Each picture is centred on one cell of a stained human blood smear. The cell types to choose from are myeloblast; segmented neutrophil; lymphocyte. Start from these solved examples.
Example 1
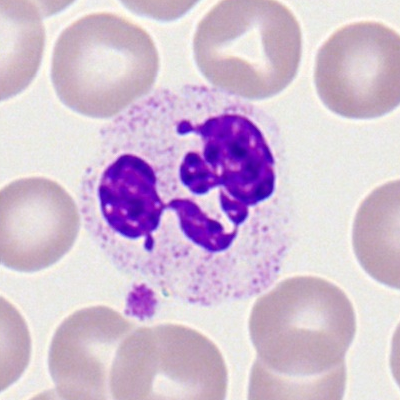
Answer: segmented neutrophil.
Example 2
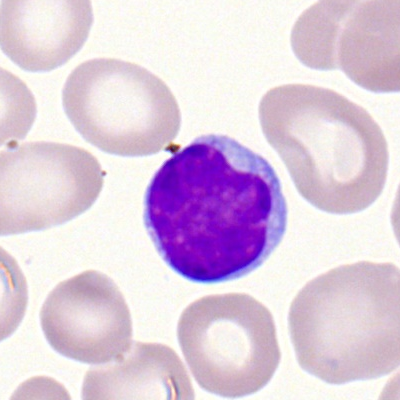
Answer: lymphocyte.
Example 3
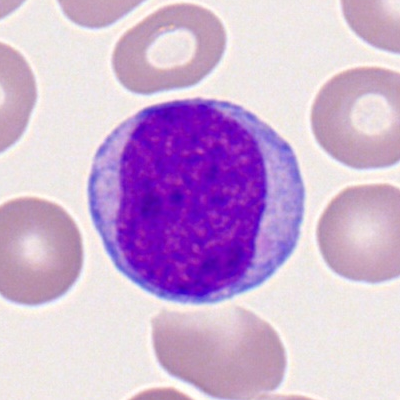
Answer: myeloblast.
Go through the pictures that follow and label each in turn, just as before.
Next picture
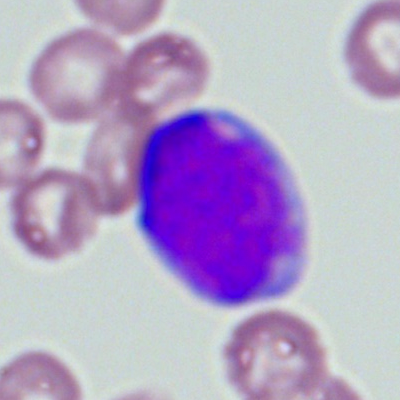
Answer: myeloblast.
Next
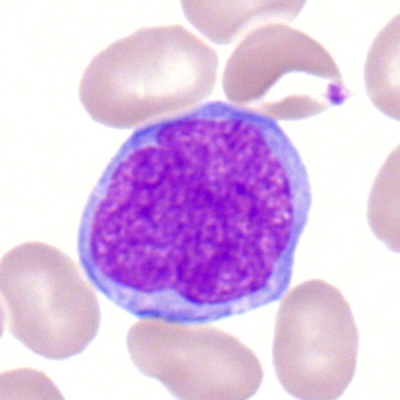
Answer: myeloblast.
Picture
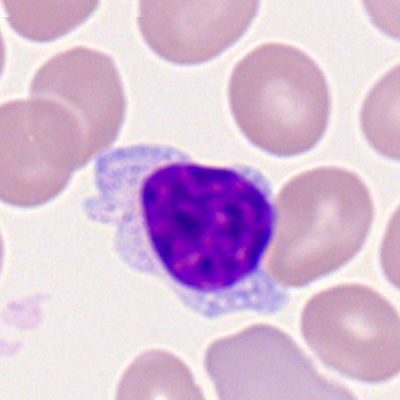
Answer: lymphocyte.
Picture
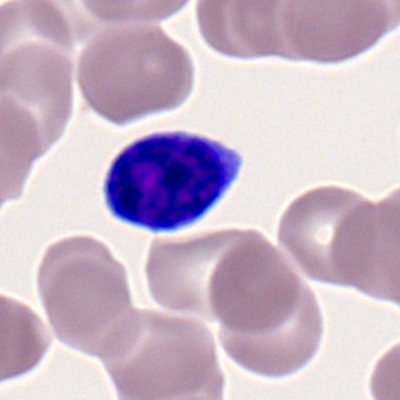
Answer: lymphocyte.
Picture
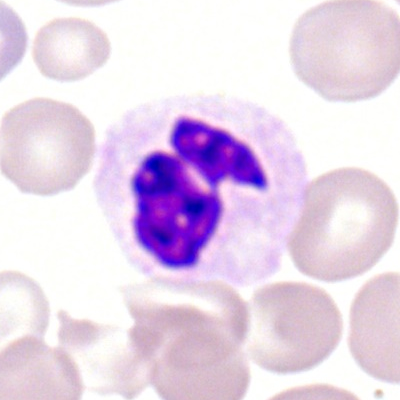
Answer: segmented neutrophil.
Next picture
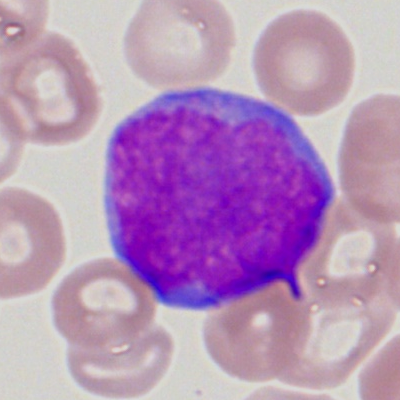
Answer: myeloblast.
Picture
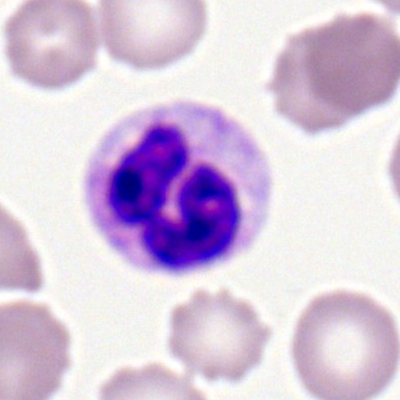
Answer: segmented neutrophil.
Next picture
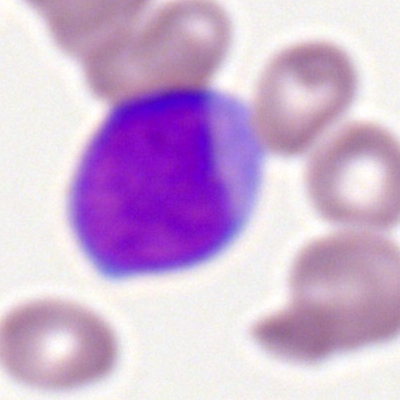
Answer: myeloblast.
